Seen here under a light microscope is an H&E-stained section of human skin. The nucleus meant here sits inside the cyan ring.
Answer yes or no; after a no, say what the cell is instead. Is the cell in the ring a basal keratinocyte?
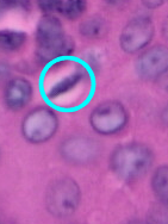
Yes.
